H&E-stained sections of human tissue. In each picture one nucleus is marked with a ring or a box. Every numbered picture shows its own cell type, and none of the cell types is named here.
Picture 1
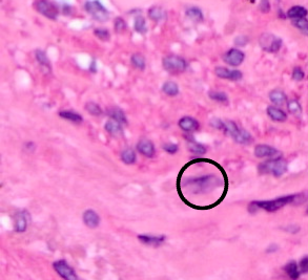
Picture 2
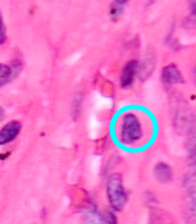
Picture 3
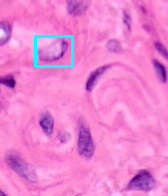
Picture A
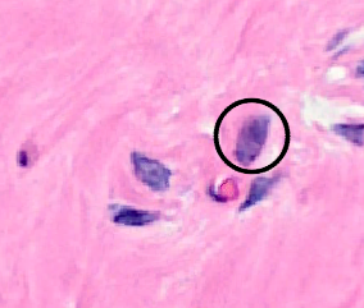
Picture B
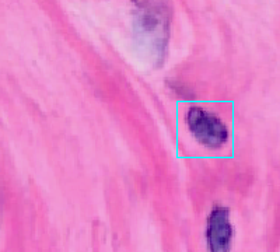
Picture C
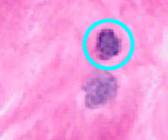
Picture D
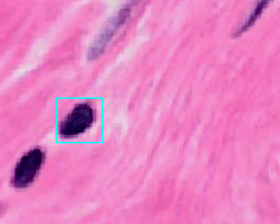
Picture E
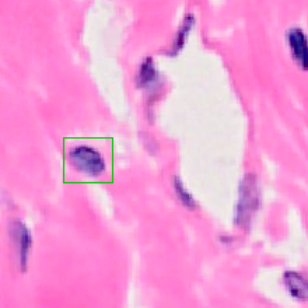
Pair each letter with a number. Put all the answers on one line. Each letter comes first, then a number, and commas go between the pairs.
A 3, B 2, C 2, D 2, E 2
